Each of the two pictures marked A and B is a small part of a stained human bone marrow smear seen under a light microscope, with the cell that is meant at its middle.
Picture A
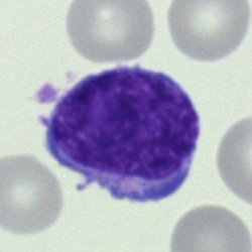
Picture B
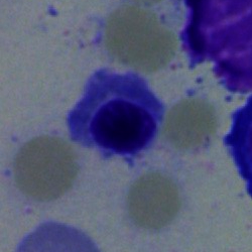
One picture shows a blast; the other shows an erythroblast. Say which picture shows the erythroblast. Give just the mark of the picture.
B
